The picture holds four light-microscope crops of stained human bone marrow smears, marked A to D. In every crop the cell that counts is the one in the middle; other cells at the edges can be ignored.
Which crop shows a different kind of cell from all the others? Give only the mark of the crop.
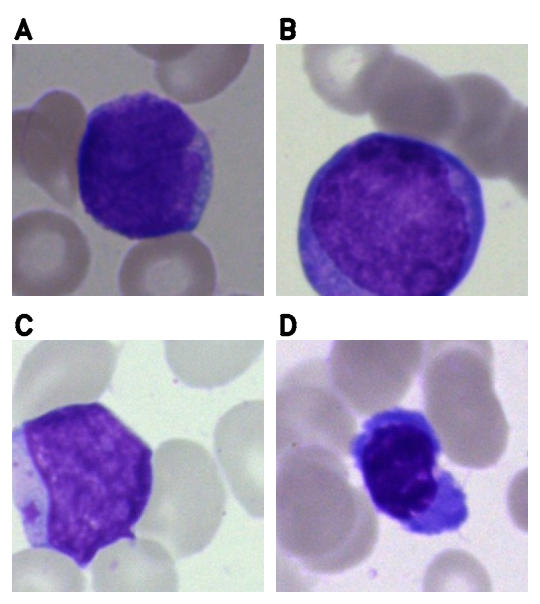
D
